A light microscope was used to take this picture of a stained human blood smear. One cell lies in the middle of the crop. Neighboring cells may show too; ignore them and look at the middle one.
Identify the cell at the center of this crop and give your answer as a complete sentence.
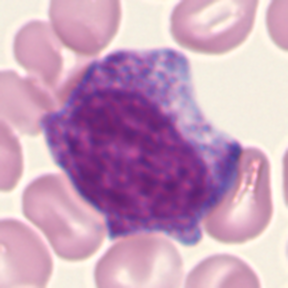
The cell centered in this field of view is a promyelocyte.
